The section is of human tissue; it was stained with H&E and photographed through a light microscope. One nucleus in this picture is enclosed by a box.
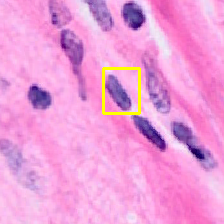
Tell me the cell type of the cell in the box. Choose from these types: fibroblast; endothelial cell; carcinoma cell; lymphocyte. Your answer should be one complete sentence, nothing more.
In cell-type terms, the cell in the box is a lymphocyte.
